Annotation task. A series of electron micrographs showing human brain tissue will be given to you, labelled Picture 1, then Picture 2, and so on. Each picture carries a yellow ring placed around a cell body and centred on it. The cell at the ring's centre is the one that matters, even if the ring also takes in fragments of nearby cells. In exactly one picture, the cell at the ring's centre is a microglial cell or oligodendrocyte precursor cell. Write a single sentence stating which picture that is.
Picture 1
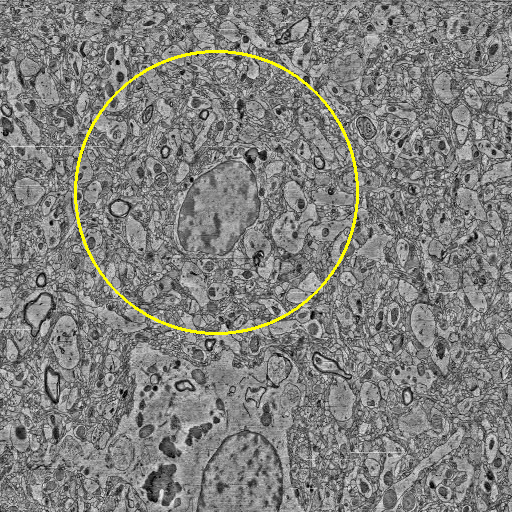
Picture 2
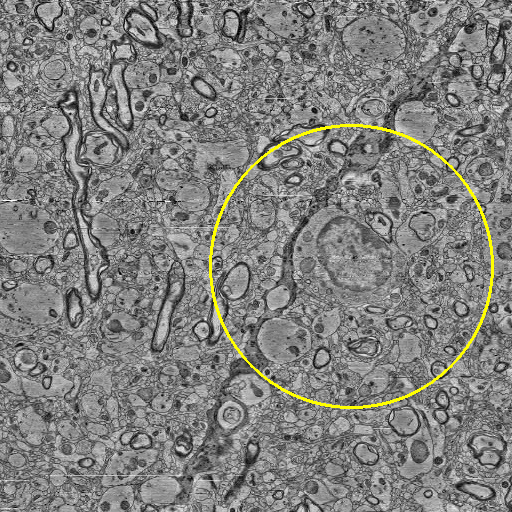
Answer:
Picture 1 holds the requested cell at the very centre of its ring.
